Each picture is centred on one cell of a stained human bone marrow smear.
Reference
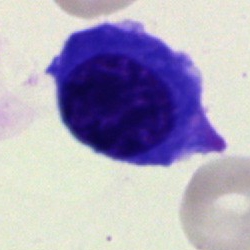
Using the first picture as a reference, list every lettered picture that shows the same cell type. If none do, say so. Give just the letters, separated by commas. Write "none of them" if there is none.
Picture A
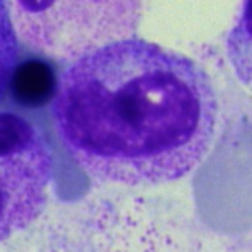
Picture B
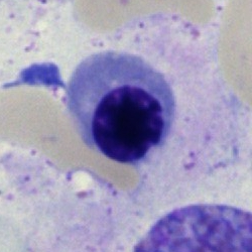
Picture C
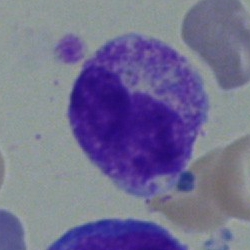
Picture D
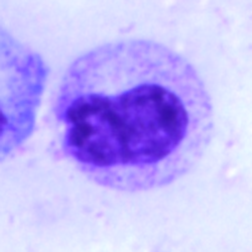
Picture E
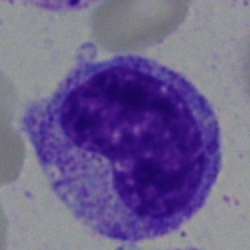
B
